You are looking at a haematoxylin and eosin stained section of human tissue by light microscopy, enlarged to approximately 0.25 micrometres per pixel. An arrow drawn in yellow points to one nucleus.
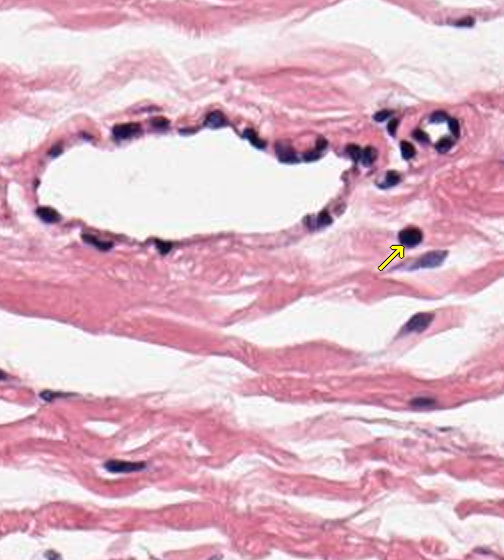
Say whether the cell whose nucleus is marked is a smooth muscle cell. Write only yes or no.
no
